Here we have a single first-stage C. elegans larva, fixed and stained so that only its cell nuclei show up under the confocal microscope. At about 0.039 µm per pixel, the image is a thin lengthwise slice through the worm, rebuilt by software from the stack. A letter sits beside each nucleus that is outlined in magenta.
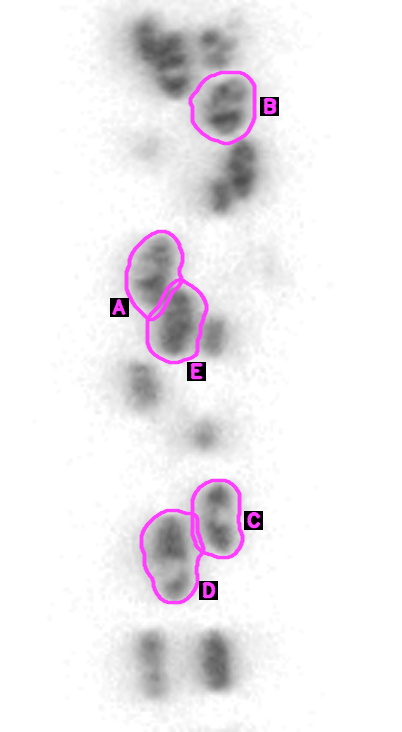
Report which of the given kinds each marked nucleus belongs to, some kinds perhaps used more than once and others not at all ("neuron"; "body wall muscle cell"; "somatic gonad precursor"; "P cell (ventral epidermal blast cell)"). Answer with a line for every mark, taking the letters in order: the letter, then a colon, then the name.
A: P cell (ventral epidermal blast cell)
B: somatic gonad precursor
C: body wall muscle cell
D: body wall muscle cell
E: body wall muscle cell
